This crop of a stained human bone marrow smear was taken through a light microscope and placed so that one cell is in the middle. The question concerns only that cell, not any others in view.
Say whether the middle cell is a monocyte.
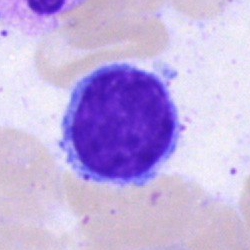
no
